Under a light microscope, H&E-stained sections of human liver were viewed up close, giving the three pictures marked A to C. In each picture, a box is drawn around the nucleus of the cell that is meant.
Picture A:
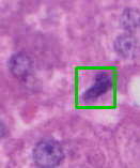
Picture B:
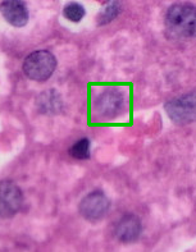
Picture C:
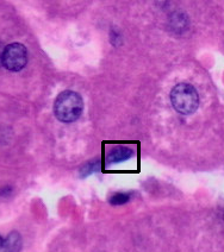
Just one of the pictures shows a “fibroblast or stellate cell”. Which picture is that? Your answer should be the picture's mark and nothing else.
C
